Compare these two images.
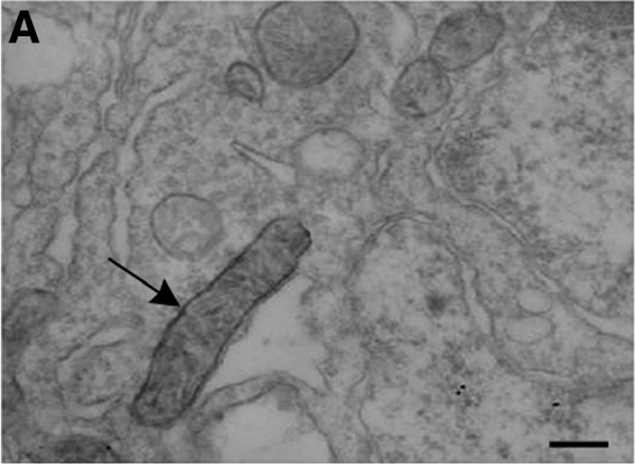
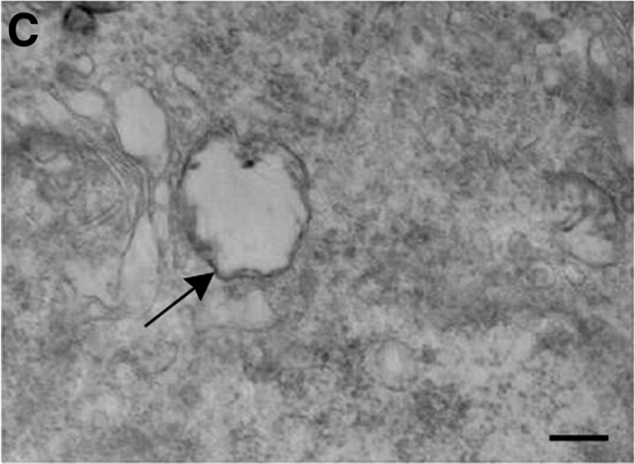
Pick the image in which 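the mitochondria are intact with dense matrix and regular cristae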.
The first image.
